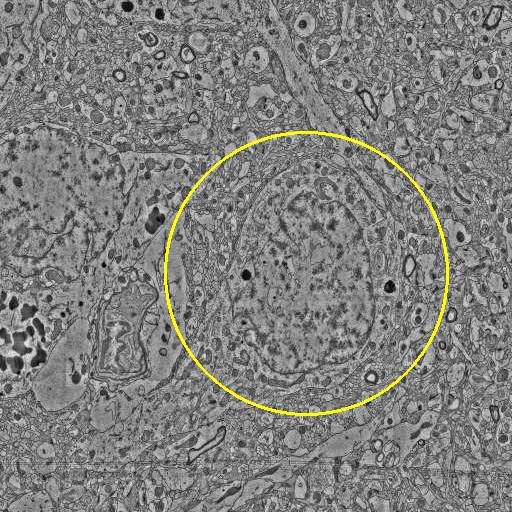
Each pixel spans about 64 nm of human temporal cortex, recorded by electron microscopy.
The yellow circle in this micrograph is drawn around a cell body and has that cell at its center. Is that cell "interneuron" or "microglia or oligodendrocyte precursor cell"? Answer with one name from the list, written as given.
interneuron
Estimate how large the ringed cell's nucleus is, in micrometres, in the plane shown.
Approximately 12 by 8 micrometers in this plane.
